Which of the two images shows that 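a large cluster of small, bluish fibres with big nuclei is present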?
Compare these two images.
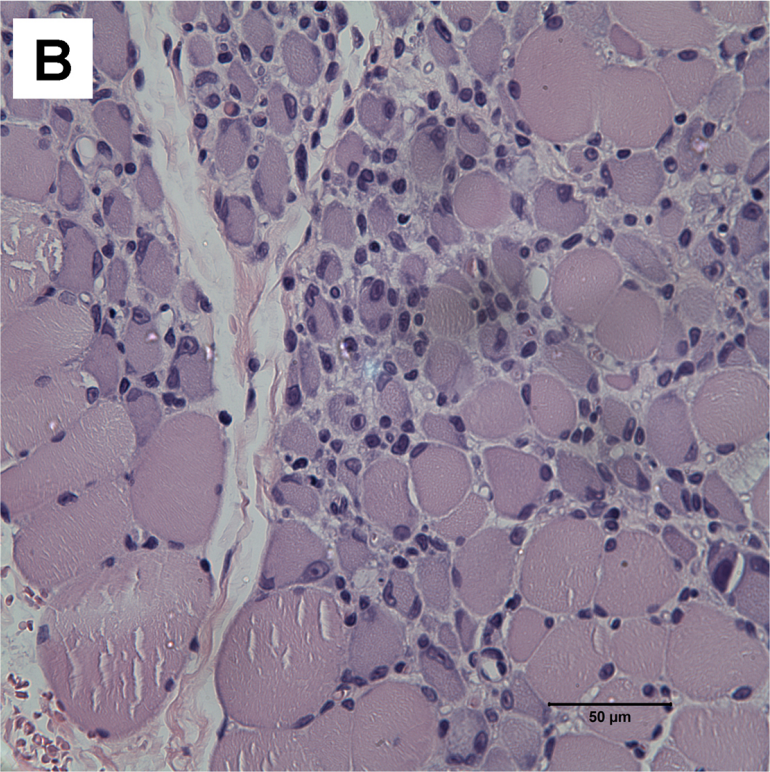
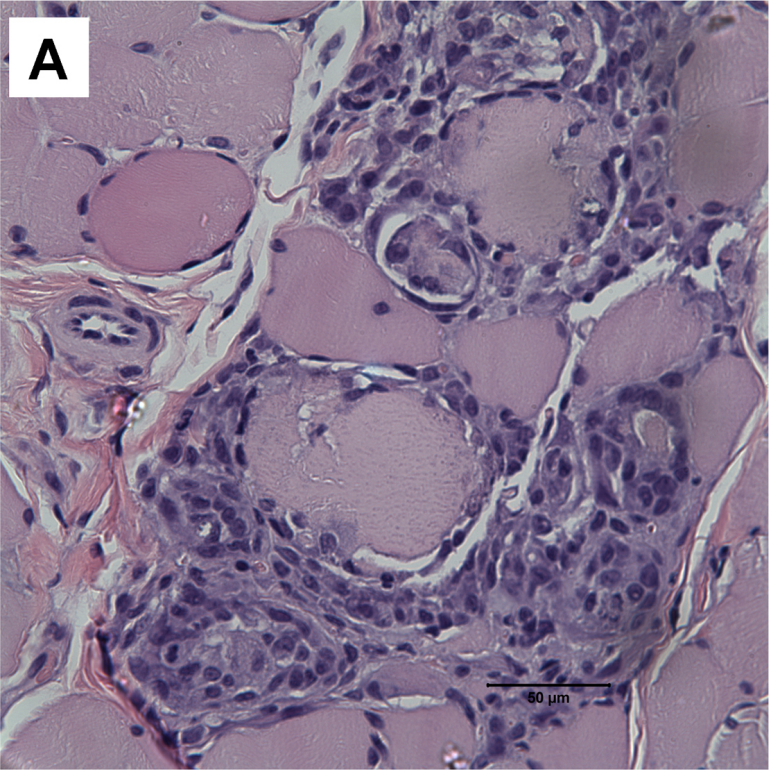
the first image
